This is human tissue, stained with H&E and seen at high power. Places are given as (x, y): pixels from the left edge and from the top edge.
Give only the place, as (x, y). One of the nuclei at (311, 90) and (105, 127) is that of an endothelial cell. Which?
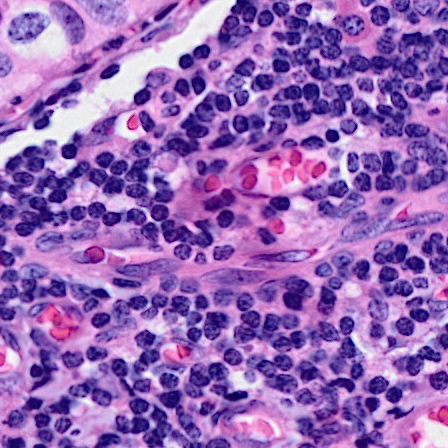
(105, 127)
